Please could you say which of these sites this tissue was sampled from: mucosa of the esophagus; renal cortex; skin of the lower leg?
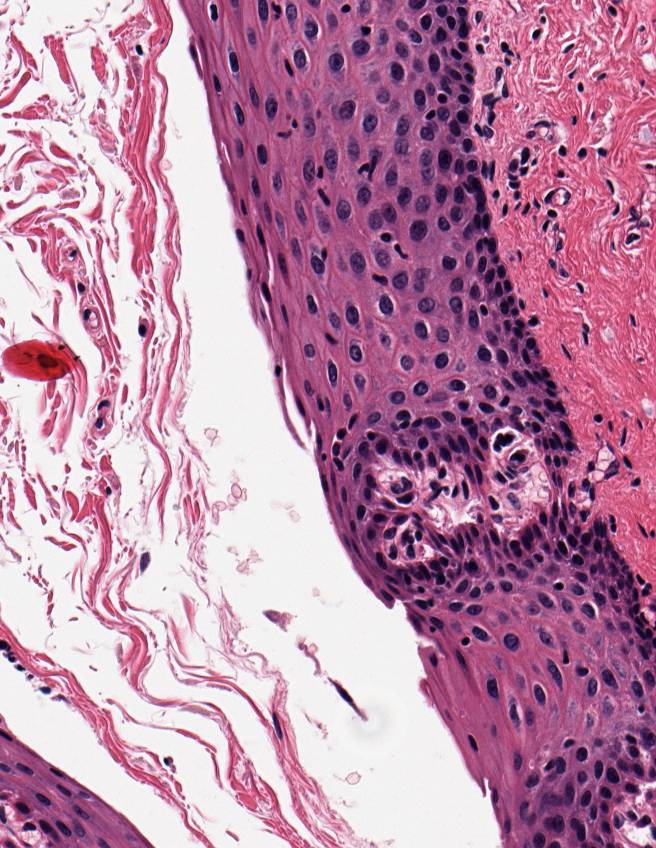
mucosa of the esophagus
